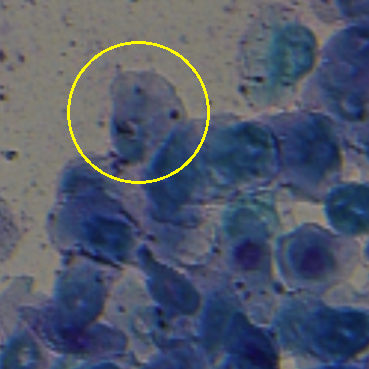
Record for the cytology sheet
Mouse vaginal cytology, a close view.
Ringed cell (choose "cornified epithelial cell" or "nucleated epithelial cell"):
cornified epithelial cell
